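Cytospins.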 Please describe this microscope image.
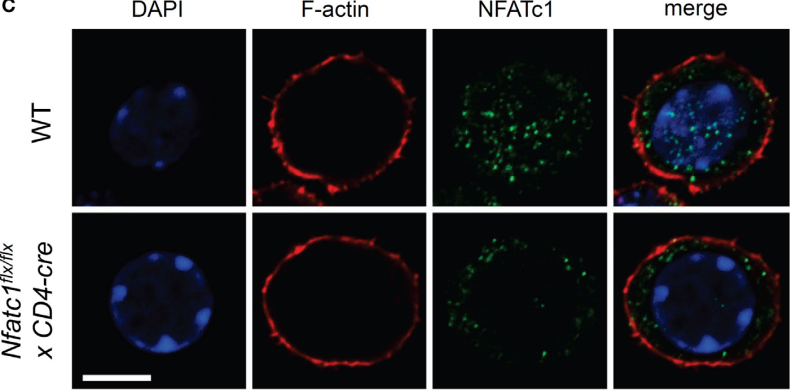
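The blue nucleus is large and round and fills most of the cell. Within it, several bright blue clumps of dense chromatin stand out against paler nucleoplasm. A thin, slightly irregular red rim marks the cell cortex just under the plasma membrane, with small projections at the surface. Green dots lie scattered through the cell; in the merged view some sit over the nucleus and others in the narrow rim of cytoplasm between nucleus and cortex.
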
